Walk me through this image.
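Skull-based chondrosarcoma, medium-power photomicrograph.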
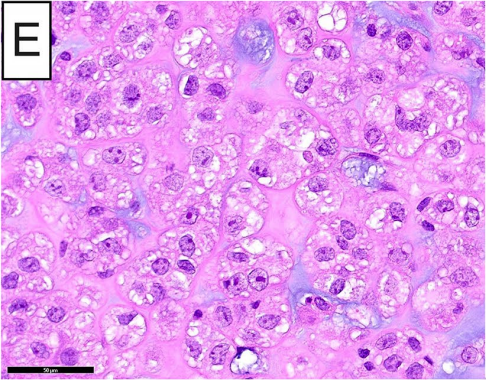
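Here the cartilage tumor is densely cellular, with large atypical cells packed closely in a pink matrix that turns bluish in small pools. The cells have pale, bubbly, vacuolated cytoplasm and nuclei of varying size and shape, many with visible nucleoli.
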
